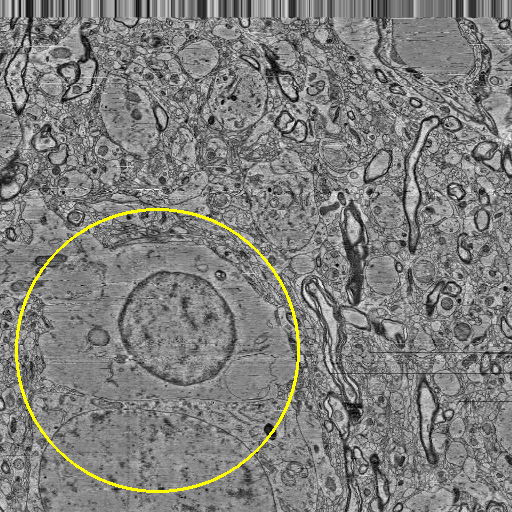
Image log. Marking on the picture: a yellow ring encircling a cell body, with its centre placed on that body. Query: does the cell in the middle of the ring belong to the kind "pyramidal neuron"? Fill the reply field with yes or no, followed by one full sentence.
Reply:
No, the cell at the centre of the yellow ring in this picture belongs to a different kind.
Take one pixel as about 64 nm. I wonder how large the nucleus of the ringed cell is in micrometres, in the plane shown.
Roughly 8 micrometers across in this plane.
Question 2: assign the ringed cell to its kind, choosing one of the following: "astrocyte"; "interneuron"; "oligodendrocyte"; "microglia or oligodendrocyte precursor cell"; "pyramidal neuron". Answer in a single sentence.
The cell shown in the ring is an astrocyte.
